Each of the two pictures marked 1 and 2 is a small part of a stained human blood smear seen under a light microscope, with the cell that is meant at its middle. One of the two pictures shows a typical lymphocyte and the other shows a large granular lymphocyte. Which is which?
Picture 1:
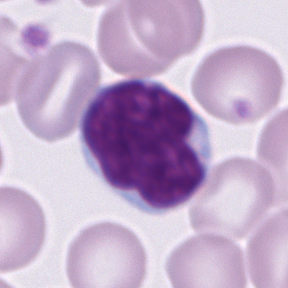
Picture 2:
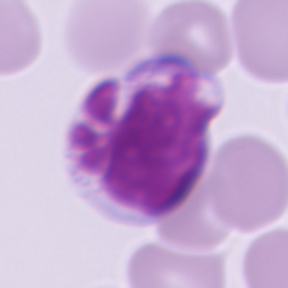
1: typical lymphocyte
2: large granular lymphocyte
